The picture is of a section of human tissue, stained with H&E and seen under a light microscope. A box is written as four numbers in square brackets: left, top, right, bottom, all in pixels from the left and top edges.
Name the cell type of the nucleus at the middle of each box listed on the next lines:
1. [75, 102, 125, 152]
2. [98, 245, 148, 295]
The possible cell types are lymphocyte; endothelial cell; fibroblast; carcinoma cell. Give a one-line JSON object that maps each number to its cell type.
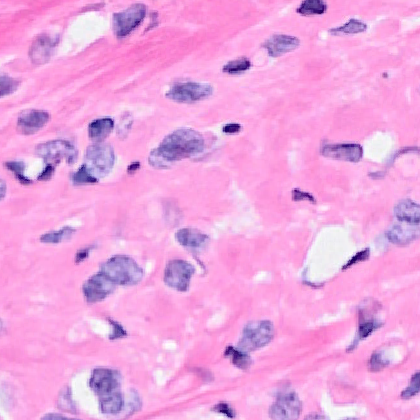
{"1": "lymphocyte", "2": "carcinoma cell"}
